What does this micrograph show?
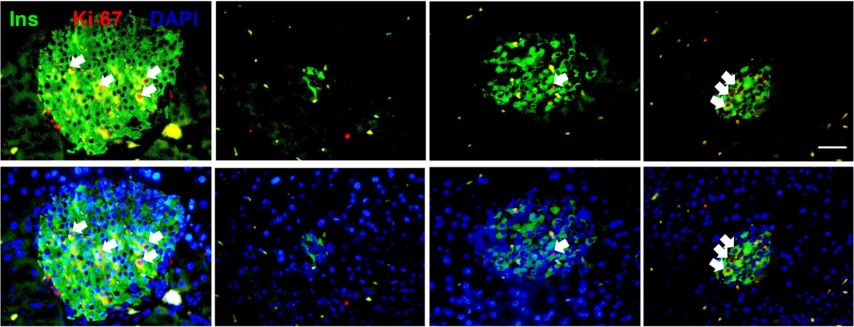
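These are sections through pancreatic islets, appearing as clusters of green-stained cells among surrounding tissue that shows mainly blue nuclei. In the largest cluster the green cells are densely packed around blue nuclei, while other clusters are smaller with patchier green staining. One field contains only a tiny remnant of green staining with almost no organised cluster.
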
